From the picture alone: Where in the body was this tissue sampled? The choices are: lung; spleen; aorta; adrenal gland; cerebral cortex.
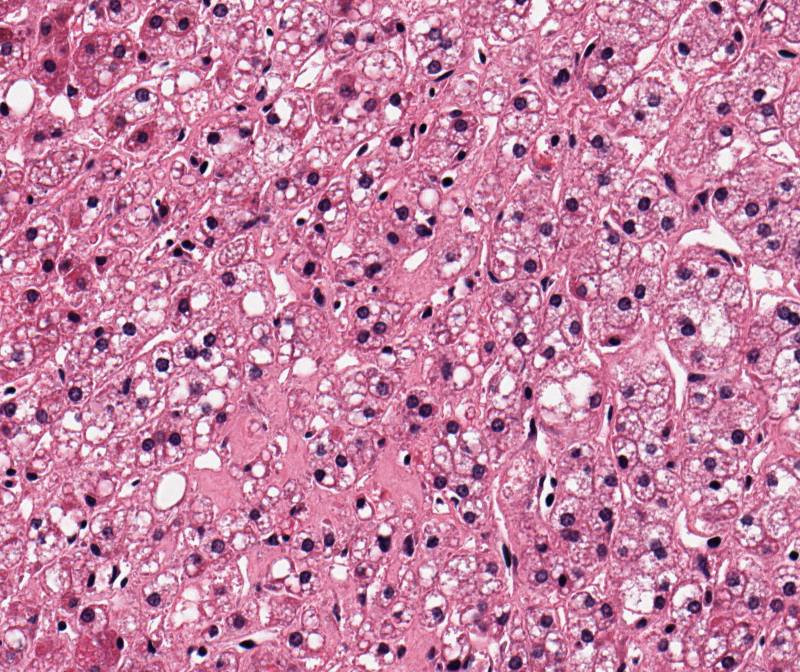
adrenal gland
